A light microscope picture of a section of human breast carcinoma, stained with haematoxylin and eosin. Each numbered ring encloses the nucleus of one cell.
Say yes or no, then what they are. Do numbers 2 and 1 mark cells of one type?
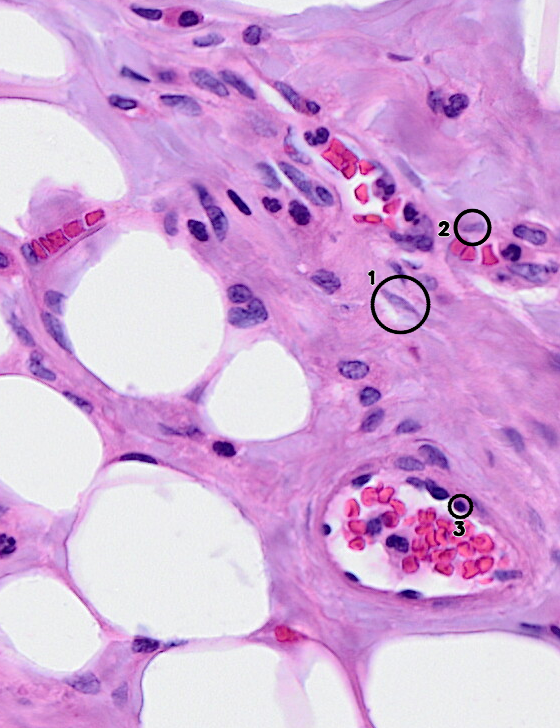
No, cell 2 is an endothelial cell; cell 1 is a fibroblast.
